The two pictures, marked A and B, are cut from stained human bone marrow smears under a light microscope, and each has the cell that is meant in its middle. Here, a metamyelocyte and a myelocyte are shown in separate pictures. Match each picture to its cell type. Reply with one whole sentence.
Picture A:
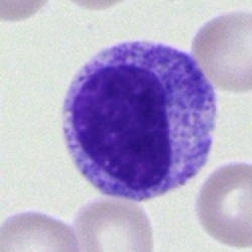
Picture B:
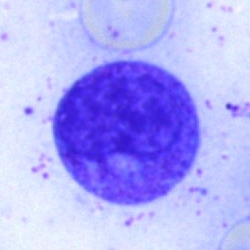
It is picture A that shows a myelocyte, and picture B that shows a metamyelocyte.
